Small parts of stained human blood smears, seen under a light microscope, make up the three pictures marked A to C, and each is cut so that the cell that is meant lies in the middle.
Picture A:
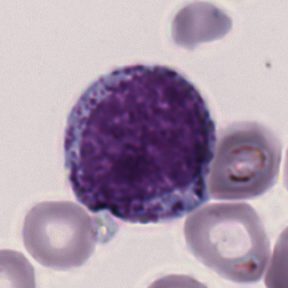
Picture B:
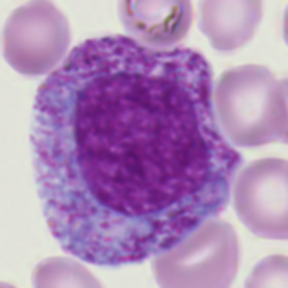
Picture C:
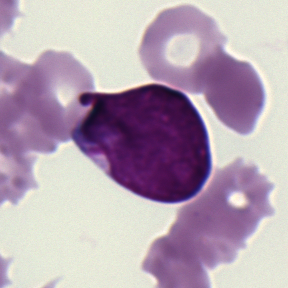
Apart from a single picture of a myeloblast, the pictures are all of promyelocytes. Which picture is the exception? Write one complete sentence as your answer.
The cell in picture C is the myeloblast.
